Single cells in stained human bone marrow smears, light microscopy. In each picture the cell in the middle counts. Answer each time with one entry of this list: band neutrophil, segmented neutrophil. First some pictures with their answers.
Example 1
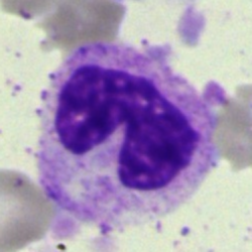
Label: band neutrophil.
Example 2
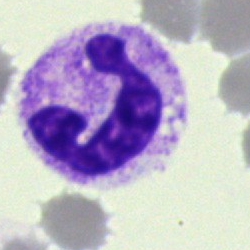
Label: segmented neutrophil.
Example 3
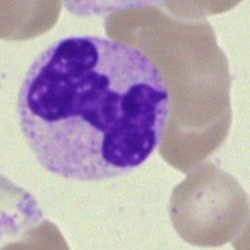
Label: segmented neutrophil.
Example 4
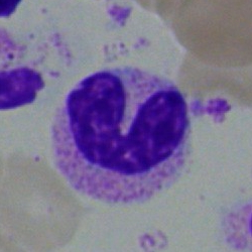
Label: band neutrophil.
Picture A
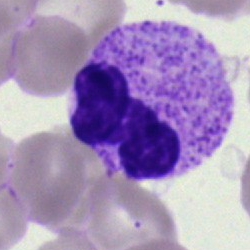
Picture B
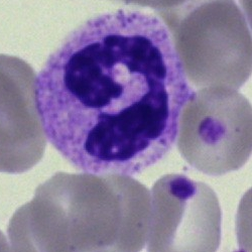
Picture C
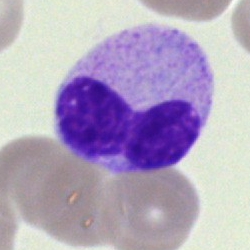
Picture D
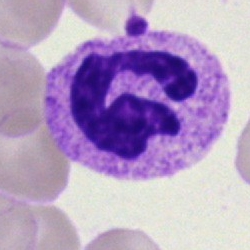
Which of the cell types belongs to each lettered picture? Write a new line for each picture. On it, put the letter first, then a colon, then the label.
A: segmented neutrophil.
B: segmented neutrophil.
C: band neutrophil.
D: segmented neutrophil.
